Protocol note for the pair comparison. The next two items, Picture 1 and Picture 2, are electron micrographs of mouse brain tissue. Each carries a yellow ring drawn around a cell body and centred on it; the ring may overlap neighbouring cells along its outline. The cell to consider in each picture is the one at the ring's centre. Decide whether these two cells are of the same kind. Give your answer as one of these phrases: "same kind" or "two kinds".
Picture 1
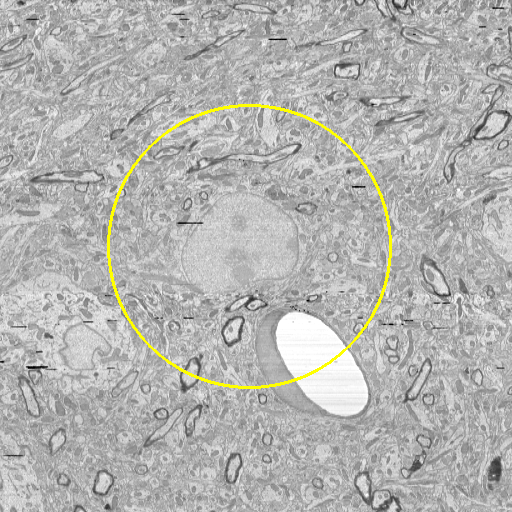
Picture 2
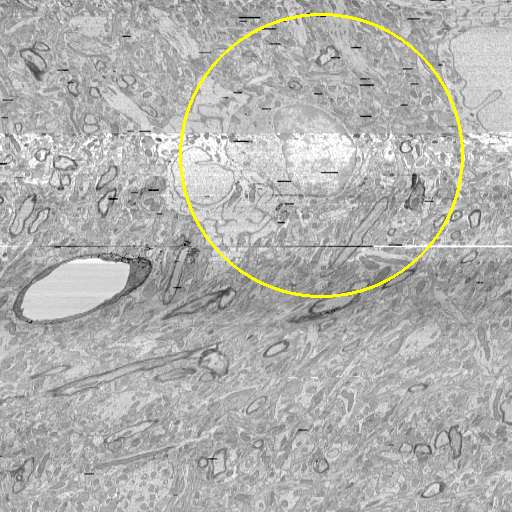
two kinds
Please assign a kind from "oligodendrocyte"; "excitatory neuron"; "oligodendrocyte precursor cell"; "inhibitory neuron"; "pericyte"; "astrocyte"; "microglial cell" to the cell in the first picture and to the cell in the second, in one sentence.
In the first picture we have an astrocyte, and in the second, an oligodendrocyte.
